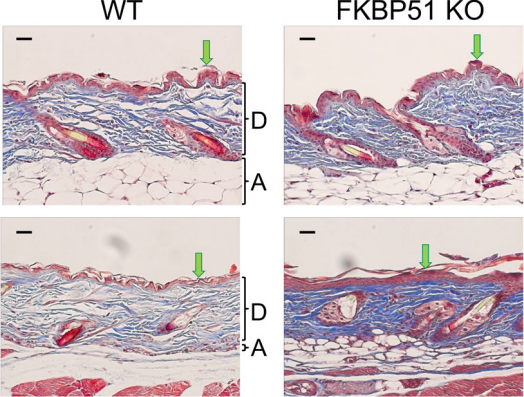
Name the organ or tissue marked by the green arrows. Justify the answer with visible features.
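The arrows point at the thin red-staining cellular layer at the top surface. It lies directly above the blue-stained fibrous layer. On this evidence: Epidermis.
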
